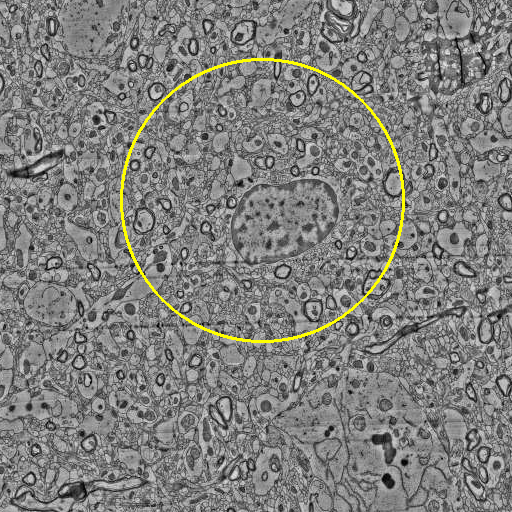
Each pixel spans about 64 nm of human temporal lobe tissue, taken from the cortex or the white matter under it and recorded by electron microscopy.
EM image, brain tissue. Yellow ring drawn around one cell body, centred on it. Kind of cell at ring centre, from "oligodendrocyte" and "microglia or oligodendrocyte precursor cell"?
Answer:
microglia or oligodendrocyte precursor cell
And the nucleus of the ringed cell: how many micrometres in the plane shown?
The nucleus measures about 7 by 5 micrometres in this plane.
